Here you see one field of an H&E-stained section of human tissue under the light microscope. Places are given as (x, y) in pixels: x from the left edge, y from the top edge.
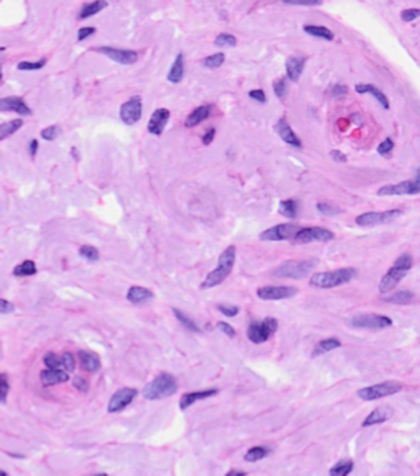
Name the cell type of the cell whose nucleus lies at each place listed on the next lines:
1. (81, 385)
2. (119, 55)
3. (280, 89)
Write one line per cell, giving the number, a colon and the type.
1: endothelial cell
2: fibroblast
3: fibroblast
